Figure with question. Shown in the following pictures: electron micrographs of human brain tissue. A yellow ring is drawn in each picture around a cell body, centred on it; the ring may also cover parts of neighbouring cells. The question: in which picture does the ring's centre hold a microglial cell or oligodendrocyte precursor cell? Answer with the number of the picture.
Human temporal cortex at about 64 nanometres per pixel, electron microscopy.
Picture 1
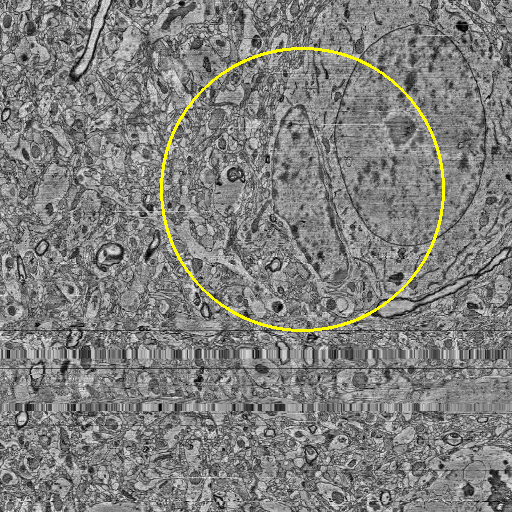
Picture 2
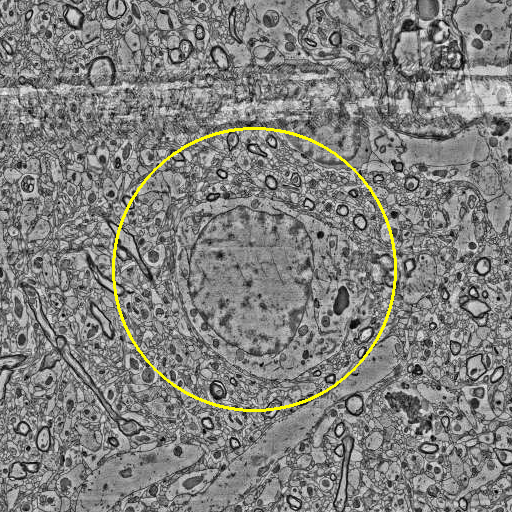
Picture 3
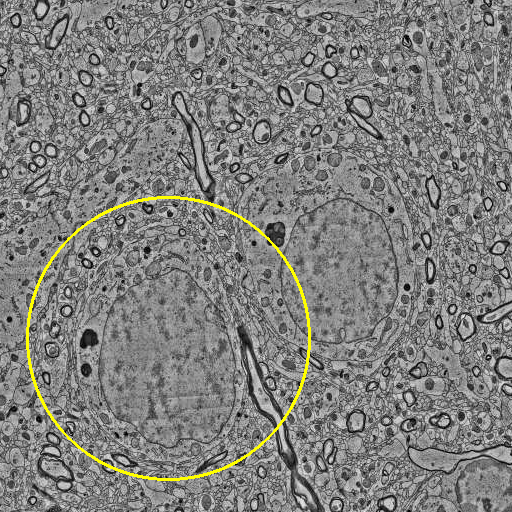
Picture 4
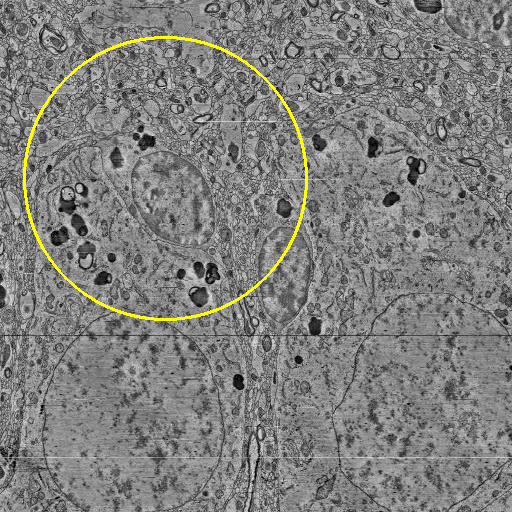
1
